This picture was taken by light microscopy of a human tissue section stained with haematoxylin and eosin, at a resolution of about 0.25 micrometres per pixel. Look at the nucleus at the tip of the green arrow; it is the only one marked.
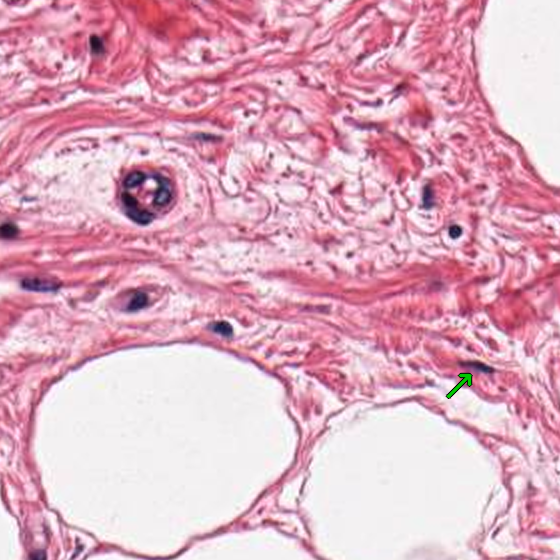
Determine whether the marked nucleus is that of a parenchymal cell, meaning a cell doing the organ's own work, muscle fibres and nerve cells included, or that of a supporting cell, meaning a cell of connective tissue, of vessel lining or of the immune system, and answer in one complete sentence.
A supporting cell is the cell in which the marked nucleus is found.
